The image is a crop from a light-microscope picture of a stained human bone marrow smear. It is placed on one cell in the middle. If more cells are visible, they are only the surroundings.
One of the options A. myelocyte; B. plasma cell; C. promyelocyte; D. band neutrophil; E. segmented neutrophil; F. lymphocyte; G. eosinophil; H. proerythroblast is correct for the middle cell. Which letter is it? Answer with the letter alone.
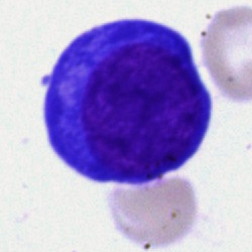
H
